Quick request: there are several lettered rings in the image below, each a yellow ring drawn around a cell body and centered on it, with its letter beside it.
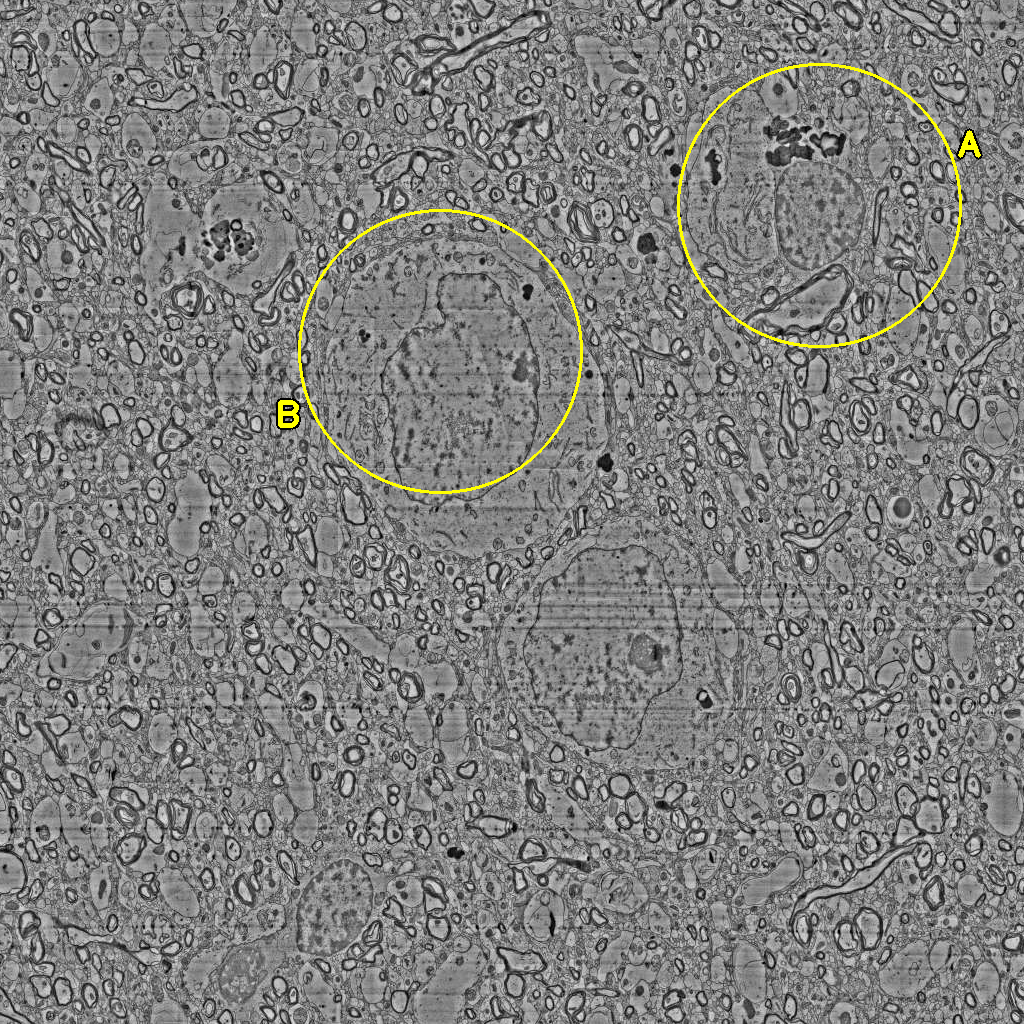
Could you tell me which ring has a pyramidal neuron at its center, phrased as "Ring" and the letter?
Ring B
